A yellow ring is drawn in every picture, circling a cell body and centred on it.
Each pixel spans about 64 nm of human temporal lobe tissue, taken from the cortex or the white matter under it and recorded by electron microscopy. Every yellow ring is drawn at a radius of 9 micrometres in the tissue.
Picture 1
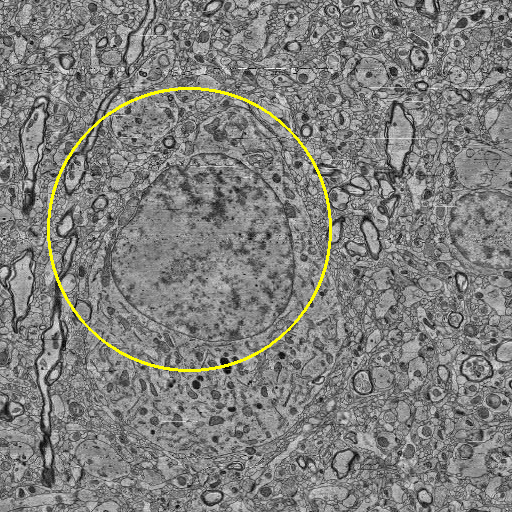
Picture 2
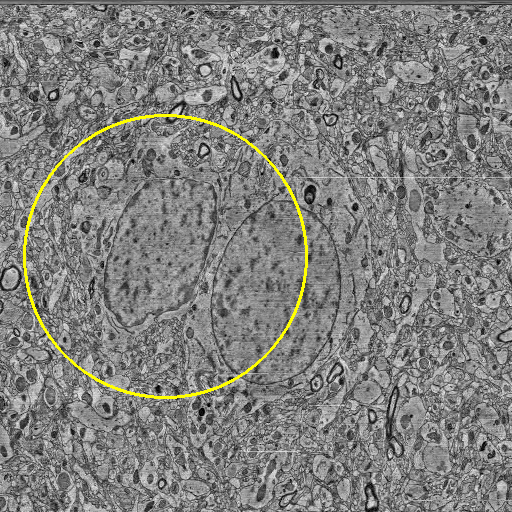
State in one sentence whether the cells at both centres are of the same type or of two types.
The cells at the two ring centres, one per picture, are of two types.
